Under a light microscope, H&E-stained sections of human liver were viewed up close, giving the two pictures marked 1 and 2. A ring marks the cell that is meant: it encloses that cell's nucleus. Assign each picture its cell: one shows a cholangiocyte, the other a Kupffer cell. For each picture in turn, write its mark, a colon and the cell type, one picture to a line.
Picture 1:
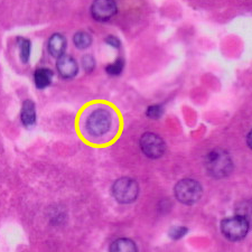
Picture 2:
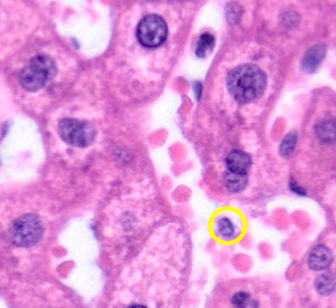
1: cholangiocyte
2: Kupffer cell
